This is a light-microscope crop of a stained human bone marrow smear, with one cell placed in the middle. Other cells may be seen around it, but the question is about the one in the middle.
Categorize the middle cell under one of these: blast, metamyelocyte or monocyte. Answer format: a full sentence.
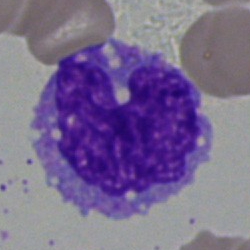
The middle of this crop holds a monocyte.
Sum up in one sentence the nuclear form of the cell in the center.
The nuclear material is gathered into one compact round, oval or kidney-shaped mass.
